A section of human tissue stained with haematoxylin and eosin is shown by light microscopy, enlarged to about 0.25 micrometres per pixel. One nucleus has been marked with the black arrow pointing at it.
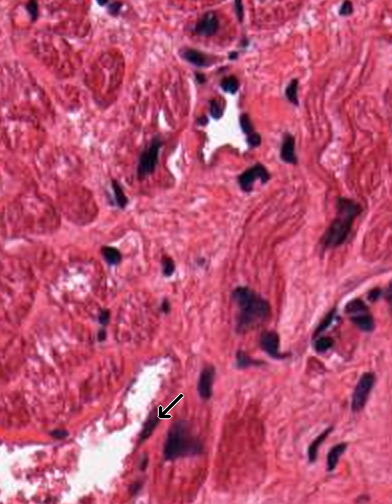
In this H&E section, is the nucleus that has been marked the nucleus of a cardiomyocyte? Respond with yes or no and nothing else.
no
